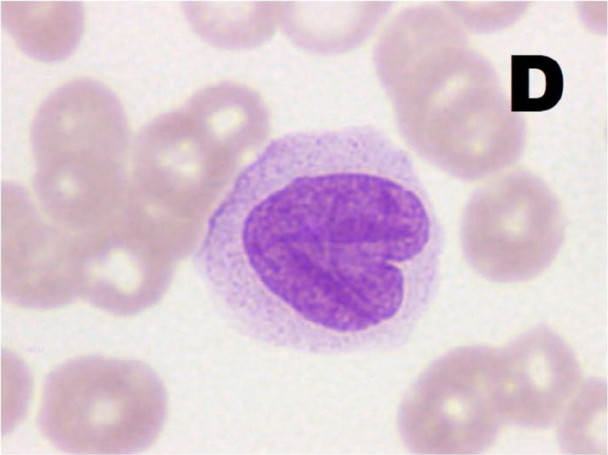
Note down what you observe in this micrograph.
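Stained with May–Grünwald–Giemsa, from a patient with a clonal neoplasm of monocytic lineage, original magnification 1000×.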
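This is a single promonocyte in a blood smear, lying among pink red cells and clearly larger than them. Its nucleus is purple and folded, with a deep crease that gives it a kidney- or heart-like outline, and its chromatin is fine and delicate rather than coarse and clumped.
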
